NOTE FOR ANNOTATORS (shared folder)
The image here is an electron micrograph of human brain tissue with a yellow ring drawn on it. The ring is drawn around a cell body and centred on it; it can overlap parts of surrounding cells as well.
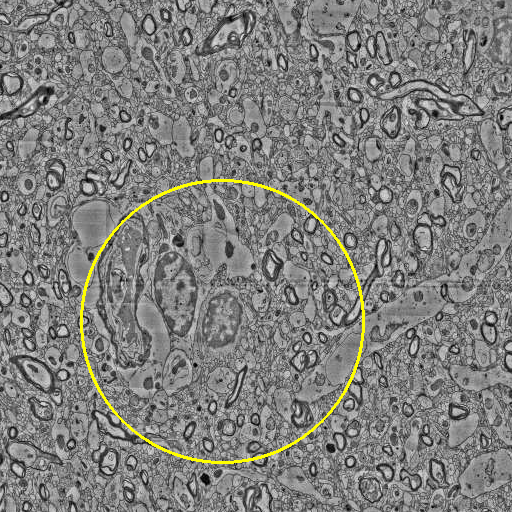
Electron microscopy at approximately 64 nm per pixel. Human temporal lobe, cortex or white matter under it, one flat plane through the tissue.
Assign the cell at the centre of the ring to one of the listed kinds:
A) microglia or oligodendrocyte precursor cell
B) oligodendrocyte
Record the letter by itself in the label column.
B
